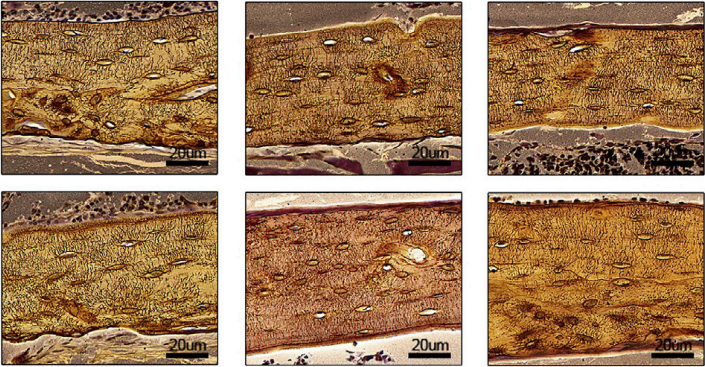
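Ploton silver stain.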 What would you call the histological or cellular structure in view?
Canalicular network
